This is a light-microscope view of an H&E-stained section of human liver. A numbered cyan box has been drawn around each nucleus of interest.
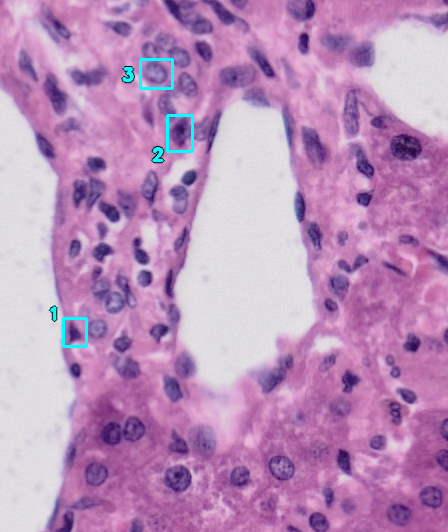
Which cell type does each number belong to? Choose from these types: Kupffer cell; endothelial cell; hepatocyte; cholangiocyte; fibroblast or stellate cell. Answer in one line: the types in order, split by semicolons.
fibroblast or stellate cell; fibroblast or stellate cell; cholangiocyte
